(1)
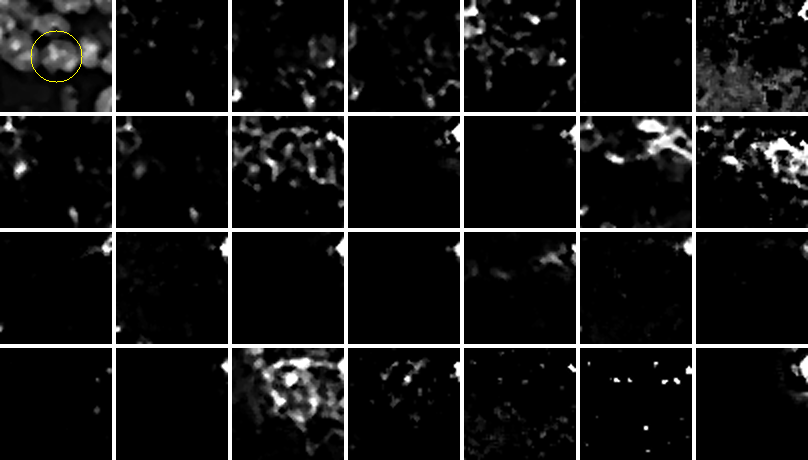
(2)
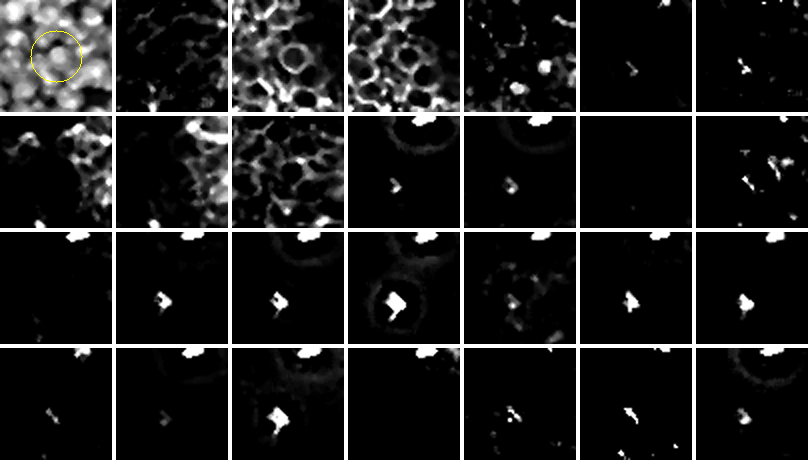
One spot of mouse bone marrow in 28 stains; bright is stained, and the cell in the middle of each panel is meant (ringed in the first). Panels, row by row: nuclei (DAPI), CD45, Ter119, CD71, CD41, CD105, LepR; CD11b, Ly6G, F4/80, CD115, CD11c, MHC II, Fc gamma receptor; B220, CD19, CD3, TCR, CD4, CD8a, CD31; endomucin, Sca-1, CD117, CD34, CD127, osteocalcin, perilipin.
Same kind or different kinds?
Different: the first is a granulocyte-monocyte progenitor, the second an erythroblast.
